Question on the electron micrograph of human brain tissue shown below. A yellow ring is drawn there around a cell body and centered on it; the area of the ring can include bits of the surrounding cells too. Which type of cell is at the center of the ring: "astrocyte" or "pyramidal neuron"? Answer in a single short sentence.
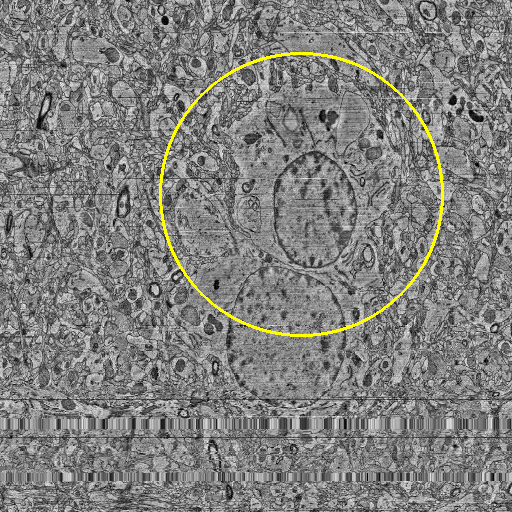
The ring is centered on an astrocyte.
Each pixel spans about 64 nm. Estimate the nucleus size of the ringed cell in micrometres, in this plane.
About 8 by 5 micrometers for the nucleus, in this plane.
